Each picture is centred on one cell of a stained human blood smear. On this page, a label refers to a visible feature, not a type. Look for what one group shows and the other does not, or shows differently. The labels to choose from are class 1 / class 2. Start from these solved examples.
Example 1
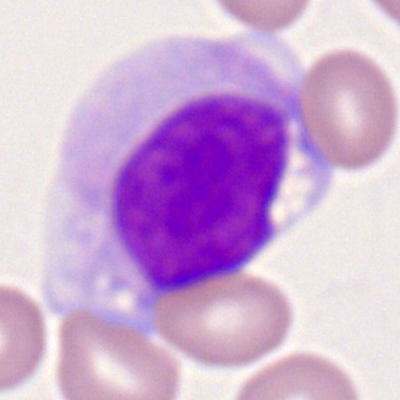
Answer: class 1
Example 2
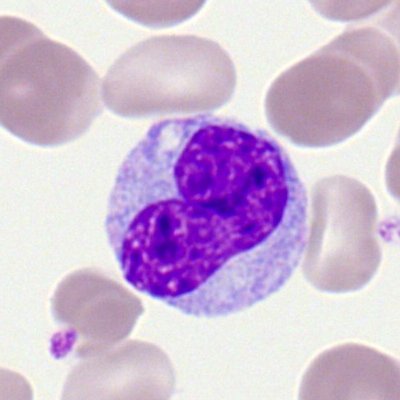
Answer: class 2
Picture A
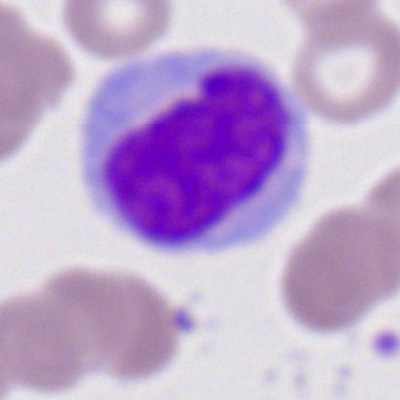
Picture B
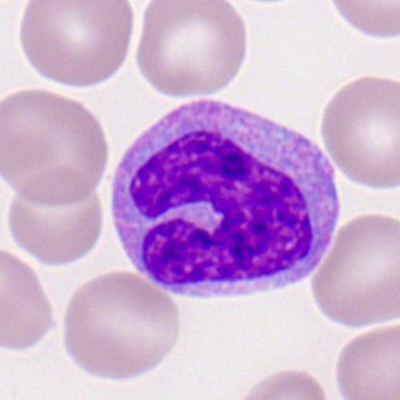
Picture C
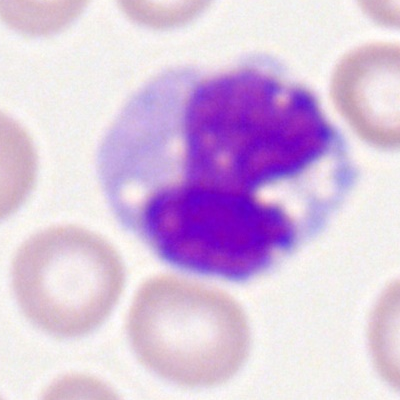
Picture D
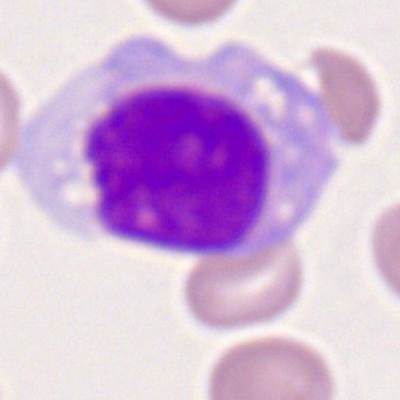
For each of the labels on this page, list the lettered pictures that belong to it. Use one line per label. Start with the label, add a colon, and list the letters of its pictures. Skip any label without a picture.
class 1: A, B, D
class 2: C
